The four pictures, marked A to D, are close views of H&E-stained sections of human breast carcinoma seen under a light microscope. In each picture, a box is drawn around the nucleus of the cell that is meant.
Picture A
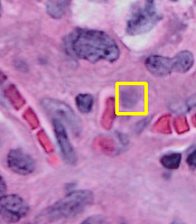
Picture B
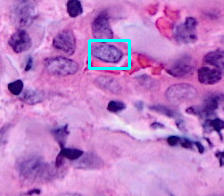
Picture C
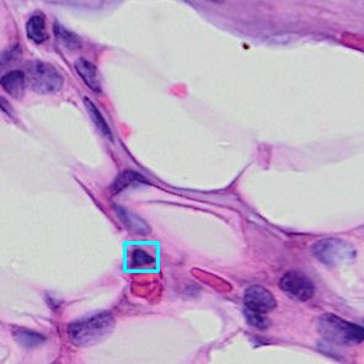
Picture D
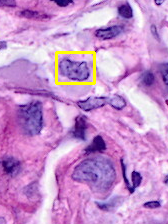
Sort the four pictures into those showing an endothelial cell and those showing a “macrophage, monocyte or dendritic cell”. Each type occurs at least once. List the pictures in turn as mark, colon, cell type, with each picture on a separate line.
A: endothelial cell
B: endothelial cell
C: endothelial cell
D: macrophage, monocyte or dendritic cell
